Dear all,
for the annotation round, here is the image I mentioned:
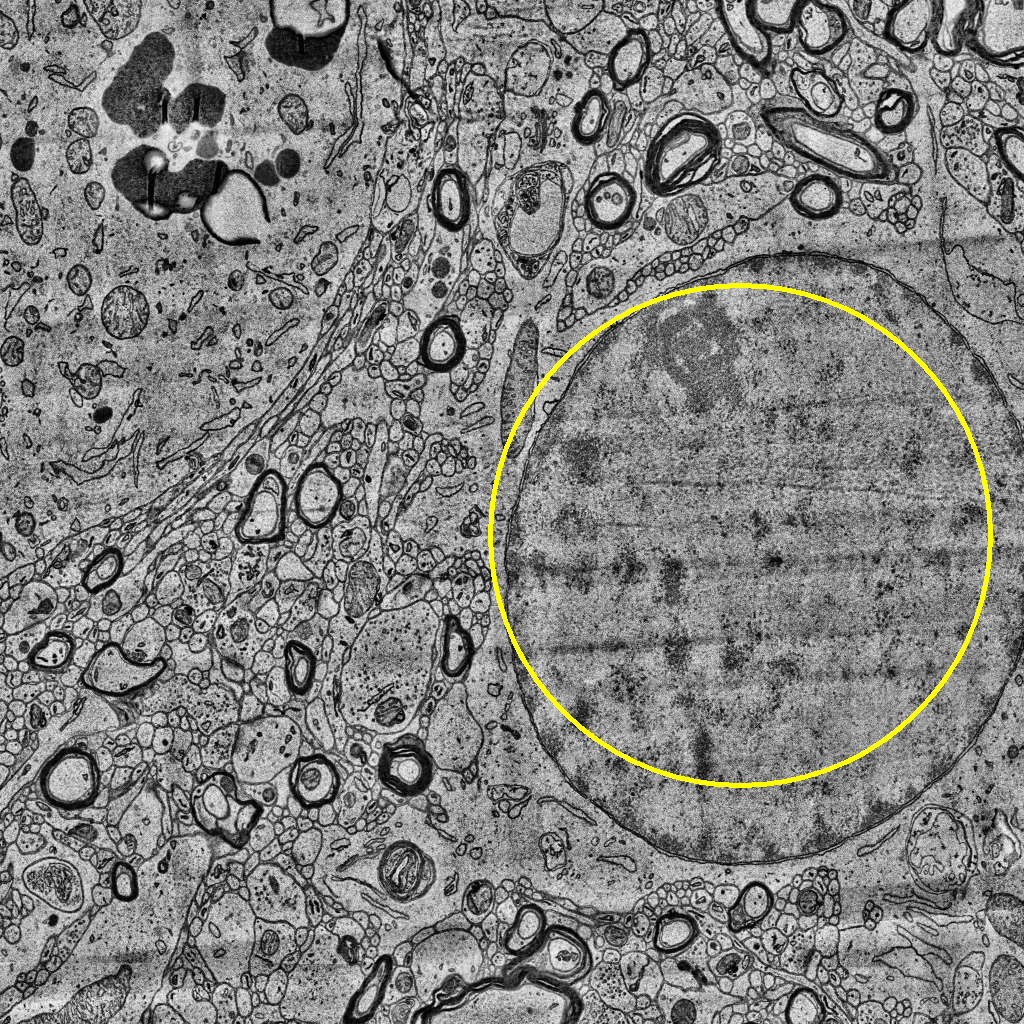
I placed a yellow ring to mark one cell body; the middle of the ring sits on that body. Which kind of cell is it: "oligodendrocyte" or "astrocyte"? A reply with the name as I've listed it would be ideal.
astrocyte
